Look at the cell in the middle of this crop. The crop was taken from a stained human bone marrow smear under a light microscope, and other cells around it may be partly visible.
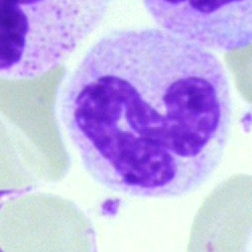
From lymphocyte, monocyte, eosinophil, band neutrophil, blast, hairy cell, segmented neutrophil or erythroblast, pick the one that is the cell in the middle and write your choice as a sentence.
Seen at the centre of the crop is a segmented neutrophil.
